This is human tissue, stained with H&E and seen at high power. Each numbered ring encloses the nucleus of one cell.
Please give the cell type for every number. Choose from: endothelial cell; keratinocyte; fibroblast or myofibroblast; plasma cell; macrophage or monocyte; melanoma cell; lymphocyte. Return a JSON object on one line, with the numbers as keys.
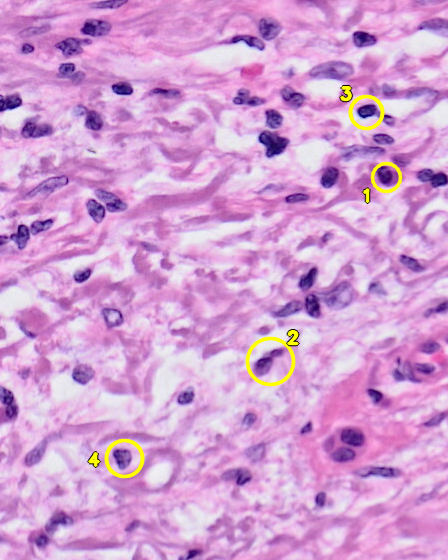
{"1": "plasma cell", "2": "fibroblast or myofibroblast", "3": "lymphocyte", "4": "lymphocyte"}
